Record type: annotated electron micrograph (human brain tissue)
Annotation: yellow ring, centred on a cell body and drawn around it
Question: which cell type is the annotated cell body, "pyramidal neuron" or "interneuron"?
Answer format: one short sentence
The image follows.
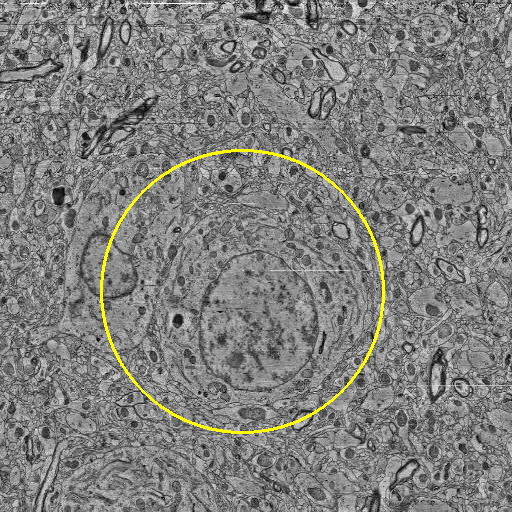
The annotated cell body is that of an interneuron.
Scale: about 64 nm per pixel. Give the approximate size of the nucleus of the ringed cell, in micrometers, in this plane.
In this plane, the nucleus of the cell at the centre of the ring is about 9 micrometres across.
